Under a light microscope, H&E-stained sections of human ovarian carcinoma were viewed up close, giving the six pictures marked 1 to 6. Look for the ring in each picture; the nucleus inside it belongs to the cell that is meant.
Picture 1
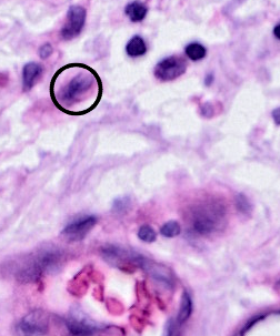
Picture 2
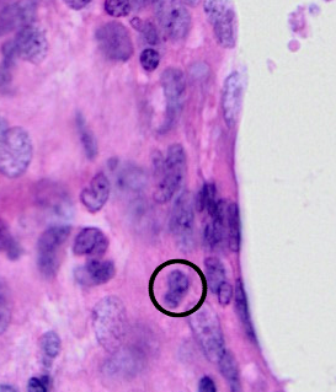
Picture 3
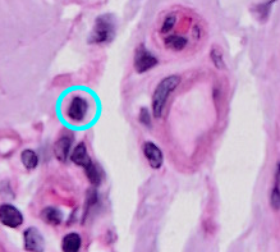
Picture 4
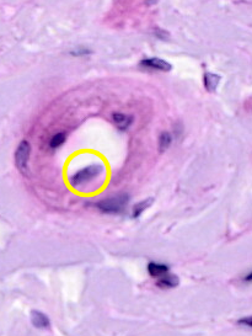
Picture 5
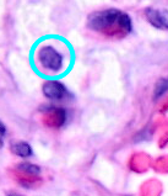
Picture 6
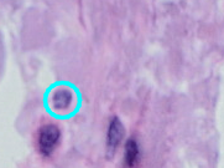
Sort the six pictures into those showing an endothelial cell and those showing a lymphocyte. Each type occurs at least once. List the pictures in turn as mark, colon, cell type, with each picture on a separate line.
1: endothelial cell
2: lymphocyte
3: lymphocyte
4: endothelial cell
5: lymphocyte
6: lymphocyte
